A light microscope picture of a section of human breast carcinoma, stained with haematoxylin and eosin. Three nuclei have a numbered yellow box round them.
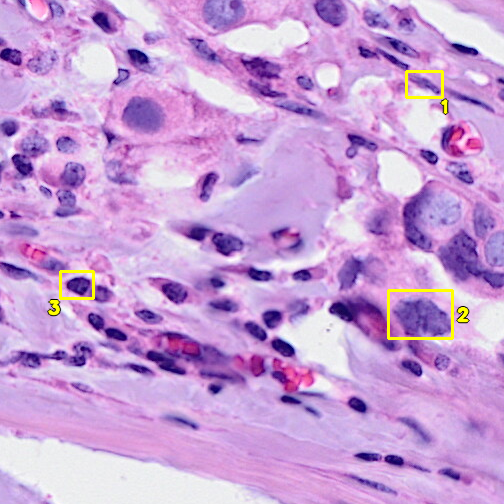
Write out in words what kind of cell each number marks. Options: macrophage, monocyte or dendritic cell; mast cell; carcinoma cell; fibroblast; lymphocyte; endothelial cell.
Cell 1 is a fibroblast, cell 2 is a carcinoma cell and cell 3 is a lymphocyte.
